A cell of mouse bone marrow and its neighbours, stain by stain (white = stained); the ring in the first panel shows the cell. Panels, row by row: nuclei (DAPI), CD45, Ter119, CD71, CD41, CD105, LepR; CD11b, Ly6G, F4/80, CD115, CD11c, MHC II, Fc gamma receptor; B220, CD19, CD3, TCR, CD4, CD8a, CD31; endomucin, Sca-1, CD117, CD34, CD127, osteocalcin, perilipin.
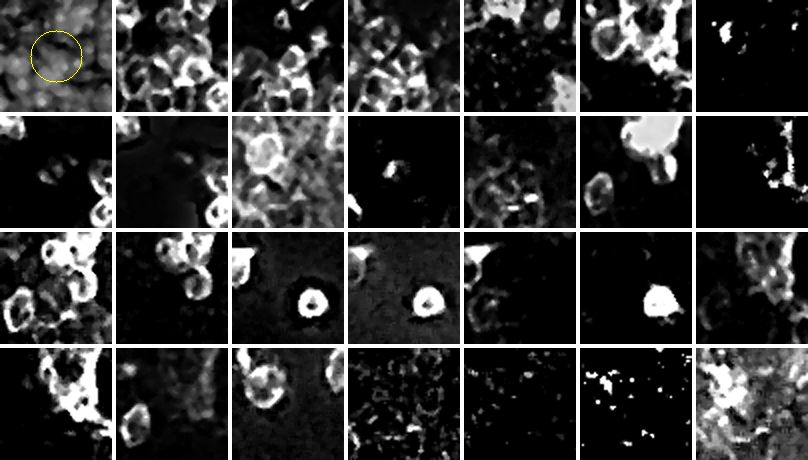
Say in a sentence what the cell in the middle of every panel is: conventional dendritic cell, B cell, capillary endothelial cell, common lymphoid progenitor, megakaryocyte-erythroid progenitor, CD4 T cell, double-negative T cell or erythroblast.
This is a capillary endothelial cell.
